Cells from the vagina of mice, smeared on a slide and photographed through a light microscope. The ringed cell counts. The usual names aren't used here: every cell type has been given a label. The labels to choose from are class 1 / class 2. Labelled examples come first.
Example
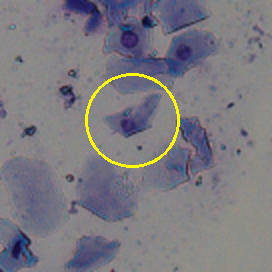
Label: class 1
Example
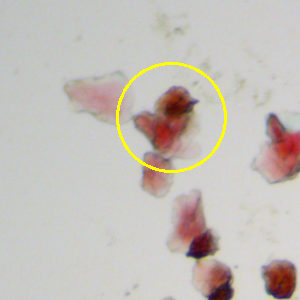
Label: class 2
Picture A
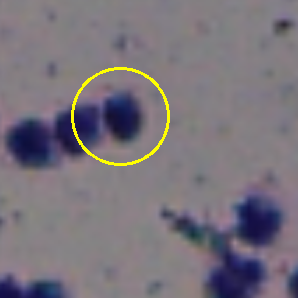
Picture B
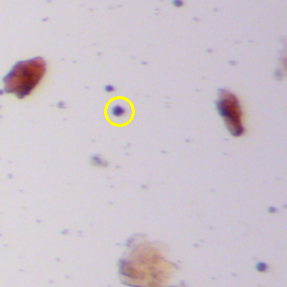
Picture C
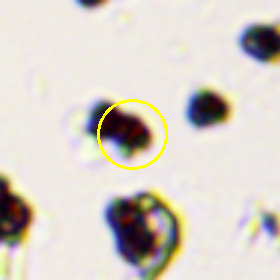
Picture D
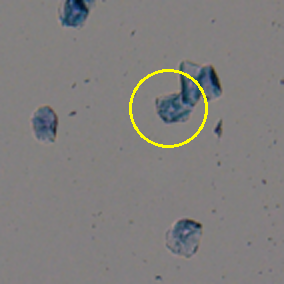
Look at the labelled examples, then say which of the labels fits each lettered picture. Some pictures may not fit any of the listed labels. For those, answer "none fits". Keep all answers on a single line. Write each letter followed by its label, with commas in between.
A none fits, B none fits, C none fits, D class 2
